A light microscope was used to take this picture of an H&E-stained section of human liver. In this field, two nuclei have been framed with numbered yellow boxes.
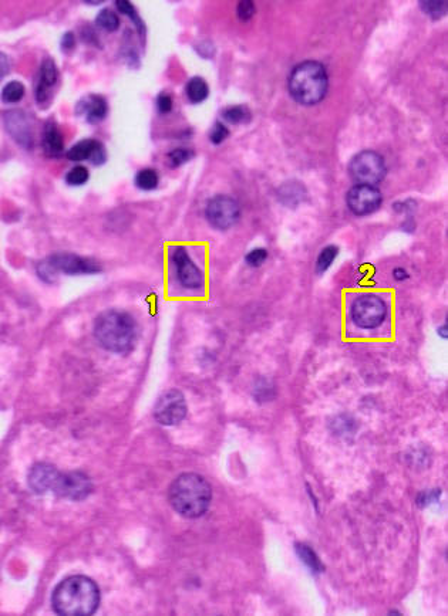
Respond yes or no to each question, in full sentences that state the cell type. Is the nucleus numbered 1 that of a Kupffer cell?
Yes, cell 1 is a Kupffer cell in this tissue section.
